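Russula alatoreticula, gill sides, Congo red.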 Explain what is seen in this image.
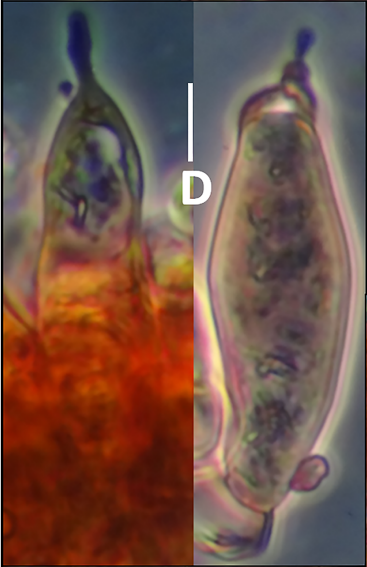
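Two large elongated cells are seen, each swollen in the middle and tapering toward the top. Their tips narrow into a small neck carrying a little appendage. One cell rises out of a dense layer stained deep orange-red, while the other is shown whole with granular contents along its length.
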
